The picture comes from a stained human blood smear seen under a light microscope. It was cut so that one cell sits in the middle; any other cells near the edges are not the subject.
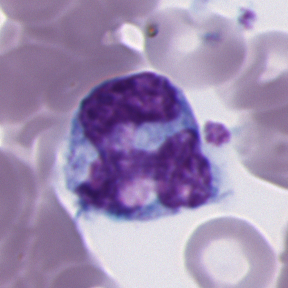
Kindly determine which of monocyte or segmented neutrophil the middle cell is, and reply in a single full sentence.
The central cell, amid any neighbouring cells, is a monocyte.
